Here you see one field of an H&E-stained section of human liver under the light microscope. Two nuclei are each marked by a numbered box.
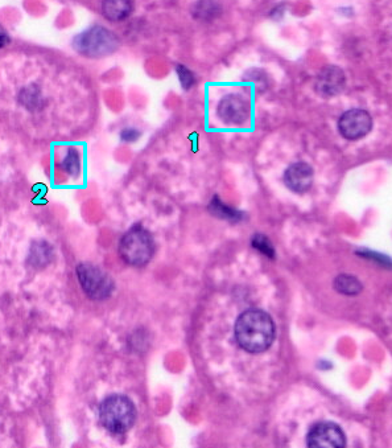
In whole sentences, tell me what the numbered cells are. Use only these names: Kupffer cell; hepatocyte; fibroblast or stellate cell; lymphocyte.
Cell 1 is a hepatocyte. Cell 2 is a lymphocyte.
